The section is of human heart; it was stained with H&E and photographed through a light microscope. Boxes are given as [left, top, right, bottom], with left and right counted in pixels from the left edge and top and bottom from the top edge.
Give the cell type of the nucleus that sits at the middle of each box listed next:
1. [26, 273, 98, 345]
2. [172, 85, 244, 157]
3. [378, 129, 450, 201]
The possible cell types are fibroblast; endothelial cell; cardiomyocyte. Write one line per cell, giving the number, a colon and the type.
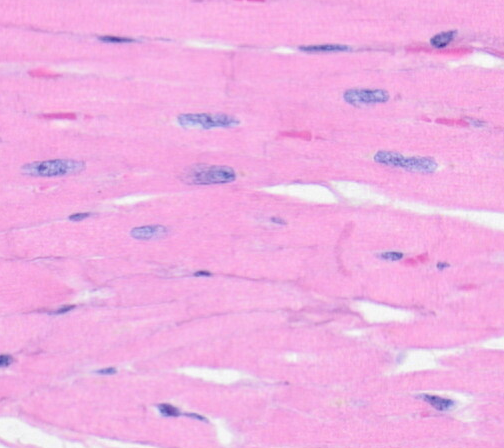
1: endothelial cell
2: cardiomyocyte
3: cardiomyocyte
